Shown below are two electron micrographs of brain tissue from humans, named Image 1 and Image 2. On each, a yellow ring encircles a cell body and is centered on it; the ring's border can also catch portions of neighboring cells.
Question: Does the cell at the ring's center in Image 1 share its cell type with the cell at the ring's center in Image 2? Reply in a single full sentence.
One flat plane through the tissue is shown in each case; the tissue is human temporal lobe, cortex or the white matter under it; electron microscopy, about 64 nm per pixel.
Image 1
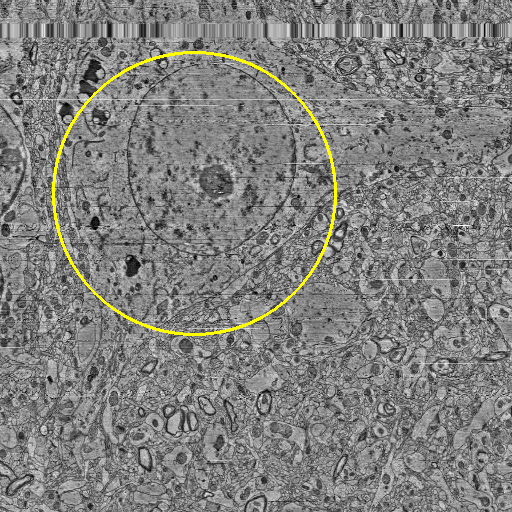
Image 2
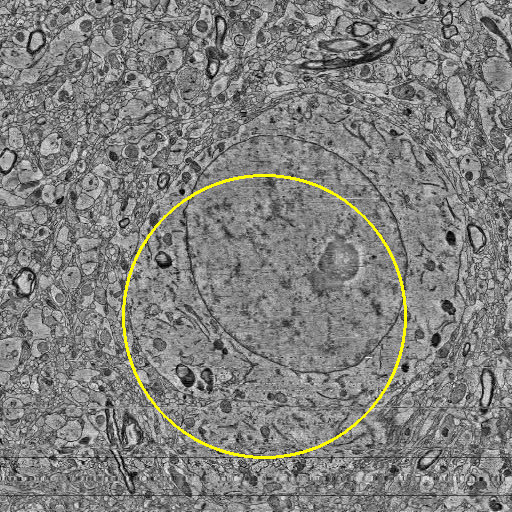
Yes, the two cells at the ring centers, in Image 1 and Image 2, share one cell type.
